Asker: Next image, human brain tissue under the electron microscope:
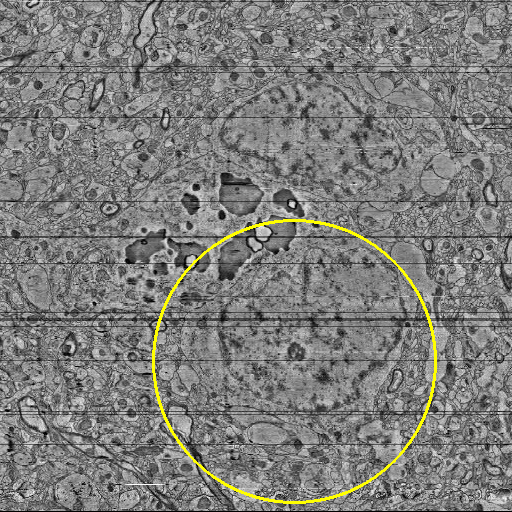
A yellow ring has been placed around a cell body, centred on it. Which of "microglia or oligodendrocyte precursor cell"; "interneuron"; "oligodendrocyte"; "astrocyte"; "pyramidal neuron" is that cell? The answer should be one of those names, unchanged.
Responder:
interneuron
